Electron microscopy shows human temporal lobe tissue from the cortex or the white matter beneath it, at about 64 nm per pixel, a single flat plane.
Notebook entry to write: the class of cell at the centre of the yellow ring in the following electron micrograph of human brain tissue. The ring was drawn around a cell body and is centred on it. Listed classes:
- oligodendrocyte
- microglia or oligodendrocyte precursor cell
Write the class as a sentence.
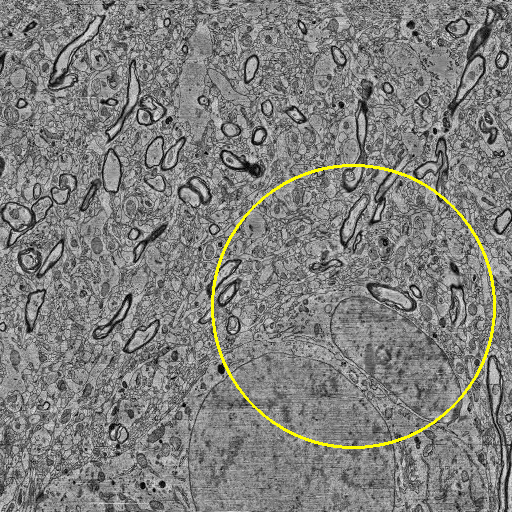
The yellow ring sits on a microglial cell or oligodendrocyte precursor cell.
